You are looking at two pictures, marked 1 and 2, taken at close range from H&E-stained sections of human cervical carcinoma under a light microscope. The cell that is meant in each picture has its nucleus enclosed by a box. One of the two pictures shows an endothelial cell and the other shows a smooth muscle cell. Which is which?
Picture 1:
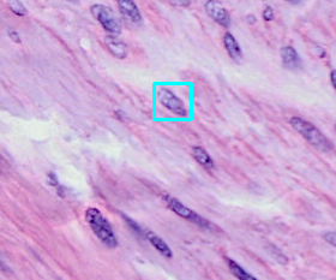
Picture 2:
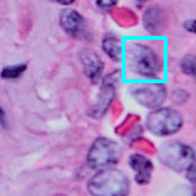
1: smooth muscle cell
2: endothelial cell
